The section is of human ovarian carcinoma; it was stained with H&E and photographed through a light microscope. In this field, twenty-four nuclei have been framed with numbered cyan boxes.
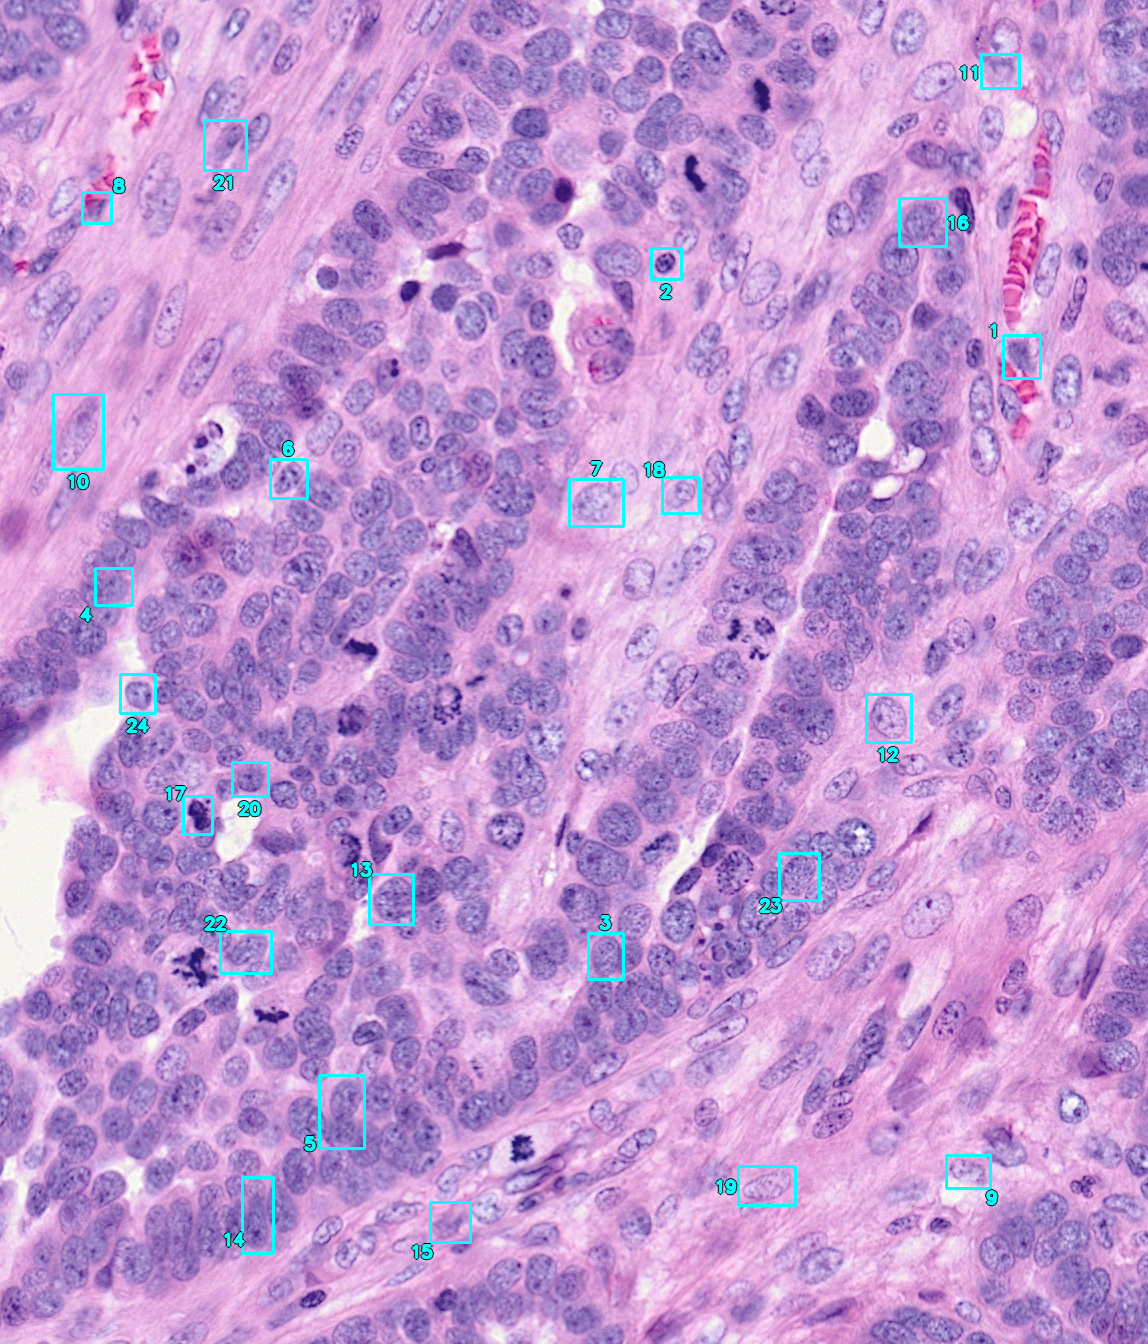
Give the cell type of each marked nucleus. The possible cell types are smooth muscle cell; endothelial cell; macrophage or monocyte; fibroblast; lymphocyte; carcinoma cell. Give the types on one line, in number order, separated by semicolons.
endothelial cell; lymphocyte; carcinoma cell; carcinoma cell; carcinoma cell; macrophage or monocyte; fibroblast; endothelial cell; fibroblast; fibroblast; fibroblast; fibroblast; carcinoma cell; carcinoma cell; fibroblast; carcinoma cell; carcinoma cell; fibroblast; fibroblast; carcinoma cell; endothelial cell; carcinoma cell; carcinoma cell; macrophage or monocyte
